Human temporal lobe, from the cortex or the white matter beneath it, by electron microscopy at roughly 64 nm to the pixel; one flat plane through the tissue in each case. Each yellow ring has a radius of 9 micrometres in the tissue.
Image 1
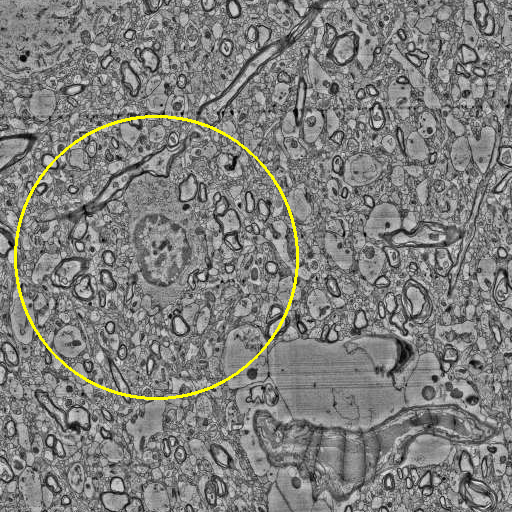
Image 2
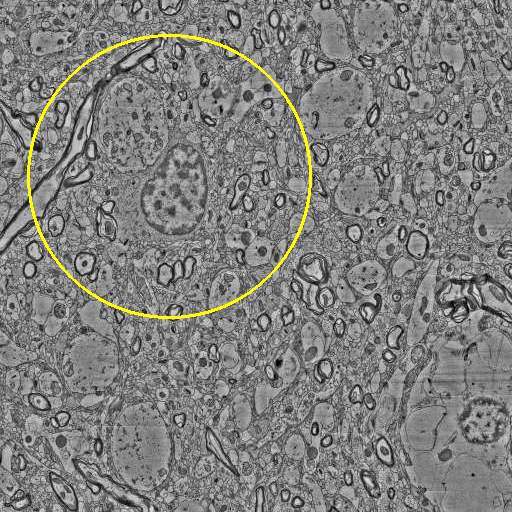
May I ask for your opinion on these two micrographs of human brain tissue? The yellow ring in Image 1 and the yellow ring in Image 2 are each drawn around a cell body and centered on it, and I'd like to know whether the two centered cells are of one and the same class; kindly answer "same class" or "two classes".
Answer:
same class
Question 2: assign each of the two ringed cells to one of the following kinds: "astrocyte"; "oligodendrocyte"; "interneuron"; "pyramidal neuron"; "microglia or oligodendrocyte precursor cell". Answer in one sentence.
In both pictures the ring is centred on an oligodendrocyte.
